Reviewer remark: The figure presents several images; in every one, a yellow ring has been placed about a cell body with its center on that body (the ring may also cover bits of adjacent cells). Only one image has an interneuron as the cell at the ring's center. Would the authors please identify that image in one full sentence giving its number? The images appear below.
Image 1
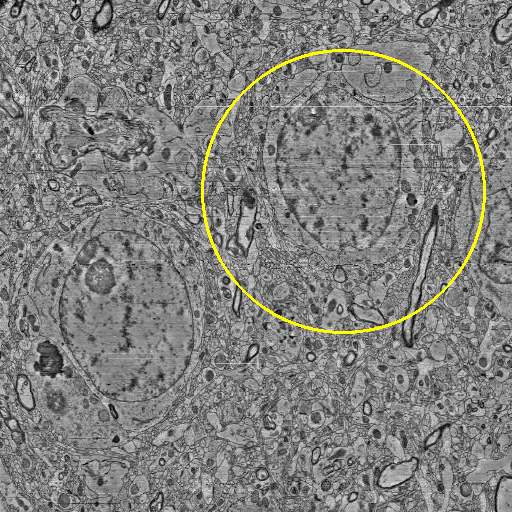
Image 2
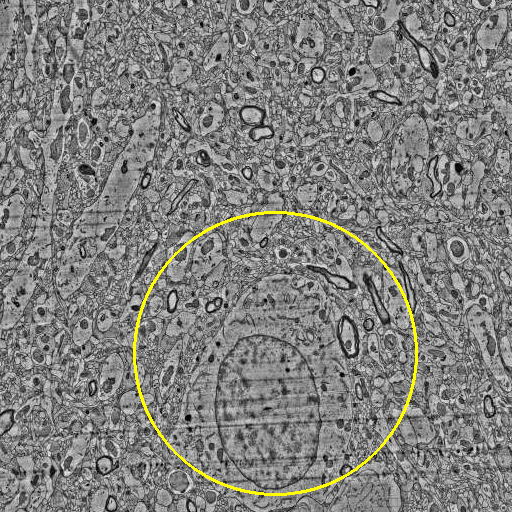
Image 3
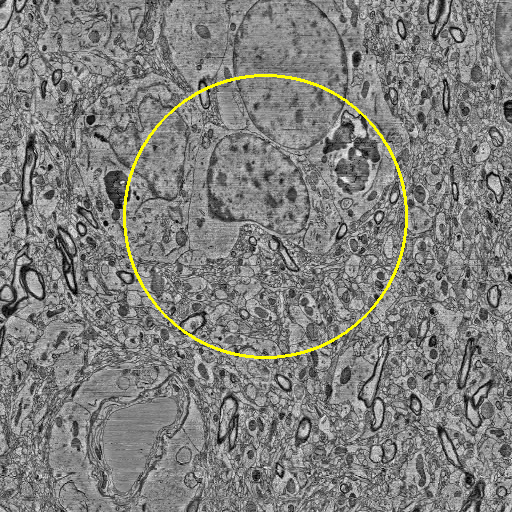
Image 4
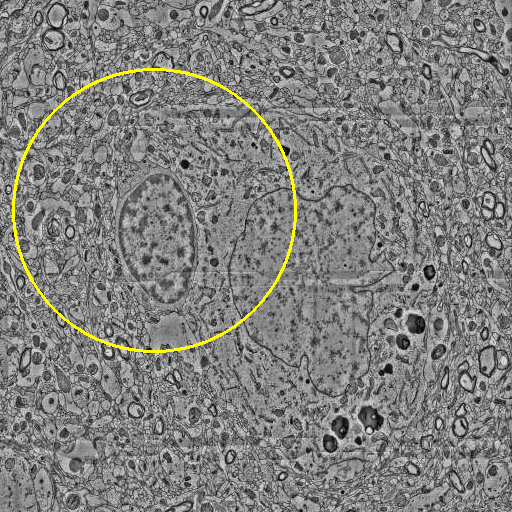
The ring's central cell in image 1 is the one the question describes.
